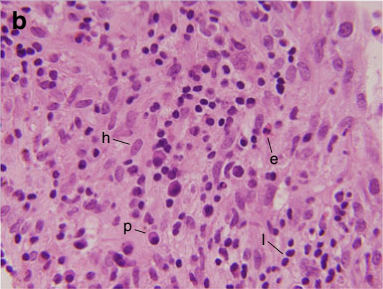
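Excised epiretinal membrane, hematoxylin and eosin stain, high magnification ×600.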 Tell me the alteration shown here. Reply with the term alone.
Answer: Chronic inflammatory cells.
